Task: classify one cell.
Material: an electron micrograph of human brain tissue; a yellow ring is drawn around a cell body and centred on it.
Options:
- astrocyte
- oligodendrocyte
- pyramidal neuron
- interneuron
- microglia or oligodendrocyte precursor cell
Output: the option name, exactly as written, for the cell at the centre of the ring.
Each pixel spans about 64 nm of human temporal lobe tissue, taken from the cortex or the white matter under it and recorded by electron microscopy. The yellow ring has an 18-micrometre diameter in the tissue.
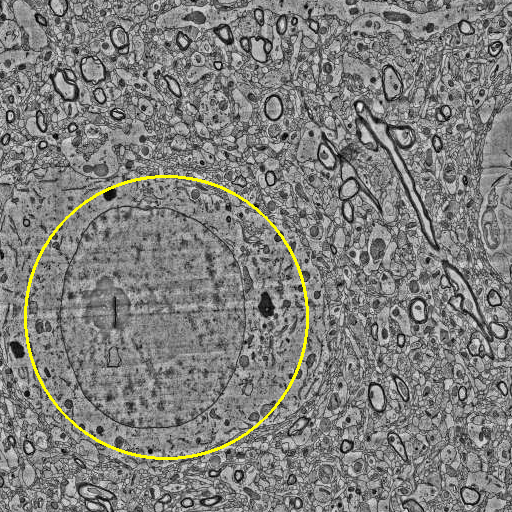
pyramidal neuron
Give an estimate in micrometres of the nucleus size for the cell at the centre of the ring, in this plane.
In this plane the nucleus measures roughly 15 by 13 micrometers.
